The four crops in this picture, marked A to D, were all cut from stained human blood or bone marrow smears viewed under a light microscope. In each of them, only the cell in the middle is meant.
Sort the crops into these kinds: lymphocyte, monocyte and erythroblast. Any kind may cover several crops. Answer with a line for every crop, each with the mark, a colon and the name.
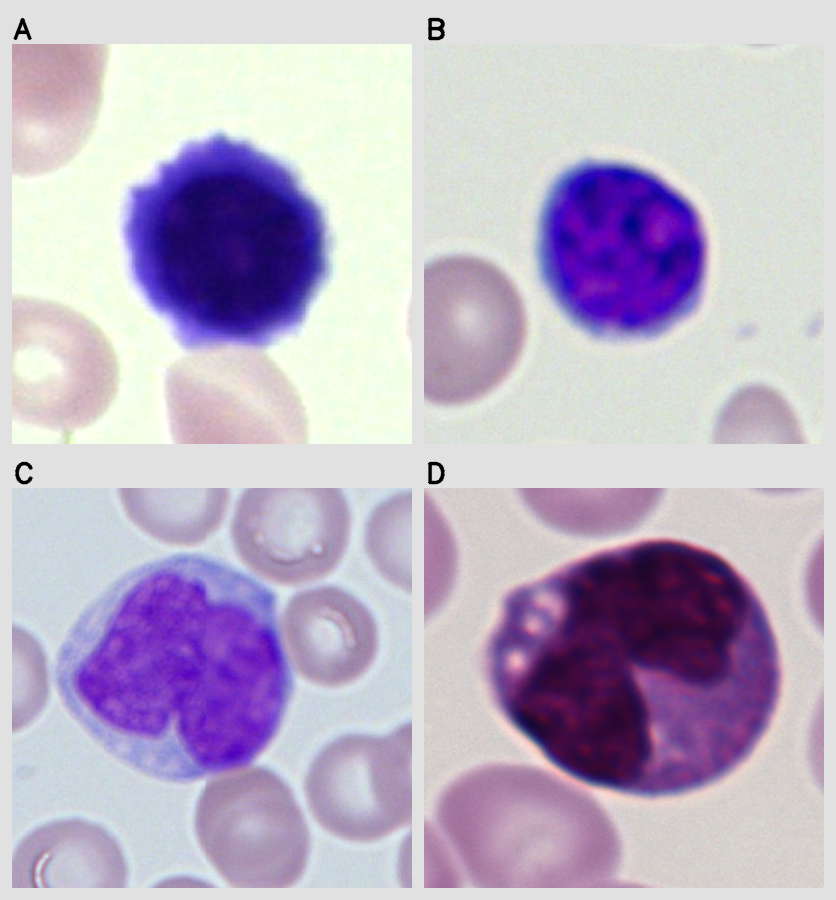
A: erythroblast
B: lymphocyte
C: monocyte
D: monocyte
